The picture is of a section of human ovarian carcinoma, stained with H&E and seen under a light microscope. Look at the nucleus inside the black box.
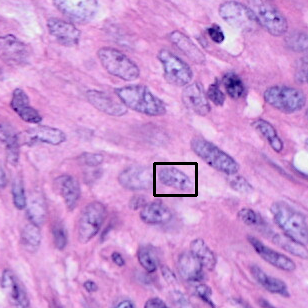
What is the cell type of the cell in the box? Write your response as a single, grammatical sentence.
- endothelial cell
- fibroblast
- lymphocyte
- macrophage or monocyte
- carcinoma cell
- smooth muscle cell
Microscopically, the cell in the box is categorized as a fibroblast.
